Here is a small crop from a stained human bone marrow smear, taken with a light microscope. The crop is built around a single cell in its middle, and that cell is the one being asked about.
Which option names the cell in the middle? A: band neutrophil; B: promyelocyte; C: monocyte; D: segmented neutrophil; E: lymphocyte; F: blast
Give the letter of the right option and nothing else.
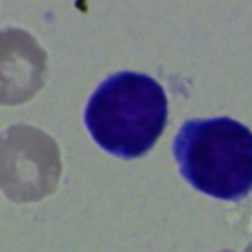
E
